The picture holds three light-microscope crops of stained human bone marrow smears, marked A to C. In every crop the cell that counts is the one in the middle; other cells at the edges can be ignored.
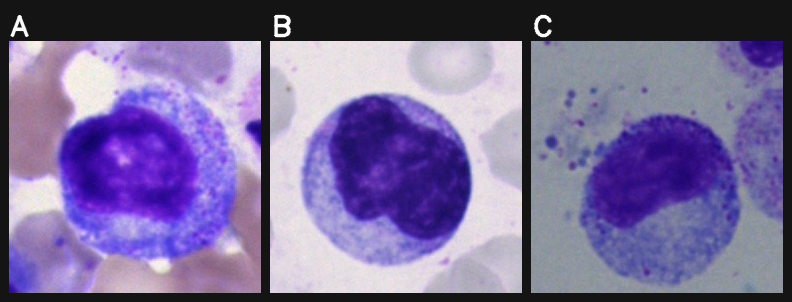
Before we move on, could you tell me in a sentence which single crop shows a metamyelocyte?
Among the crops given, only crop C shows a metamyelocyte.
